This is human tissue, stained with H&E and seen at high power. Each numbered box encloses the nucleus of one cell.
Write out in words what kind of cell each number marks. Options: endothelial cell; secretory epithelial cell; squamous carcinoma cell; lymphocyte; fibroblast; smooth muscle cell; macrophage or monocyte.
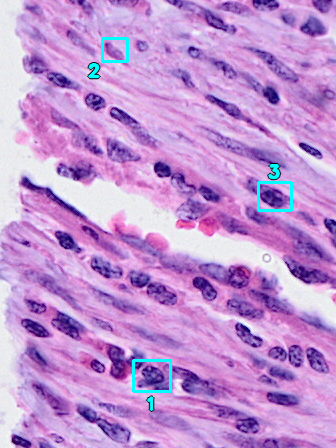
Cell 1 is a lymphocyte, cell 2 is a fibroblast and cell 3 is a lymphocyte.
